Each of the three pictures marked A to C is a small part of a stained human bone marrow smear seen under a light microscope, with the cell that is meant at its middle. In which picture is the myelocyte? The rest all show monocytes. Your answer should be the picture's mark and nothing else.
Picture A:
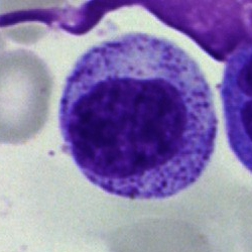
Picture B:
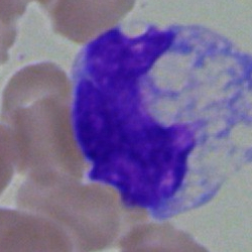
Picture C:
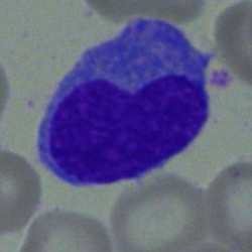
A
